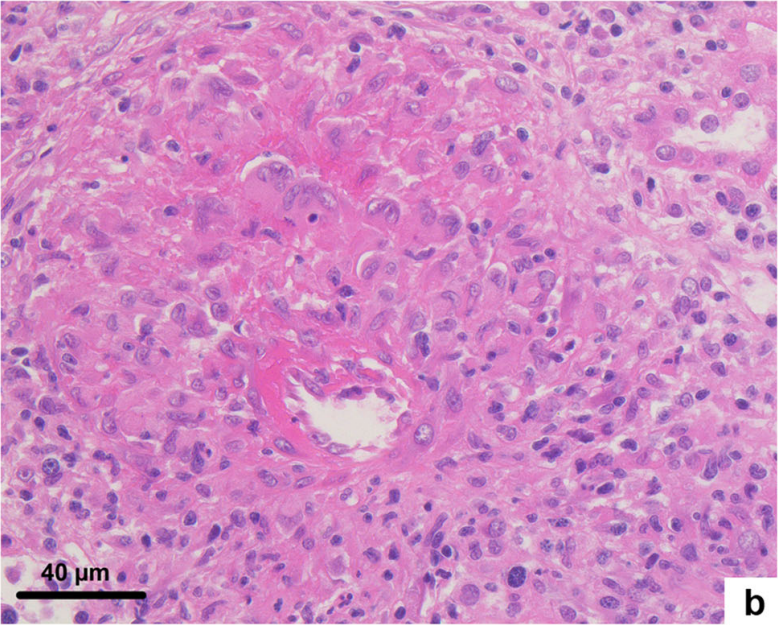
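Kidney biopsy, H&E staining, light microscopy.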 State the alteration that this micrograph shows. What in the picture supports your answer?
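A small vessel lumen is surrounded by sheets of plump epithelioid cells. Glassy bright-pink material lies in and around the vessel wall. That points to this answer: Segmental necrotizing granulomatous arteritis.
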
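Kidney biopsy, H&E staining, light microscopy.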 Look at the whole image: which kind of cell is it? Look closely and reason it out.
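Epithelioid cell. Cells have abundant pale-pink cytoplasm and oval to bean-shaped vesicular nuclei. Cells lie in cohesive sheets with indistinct borders.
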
